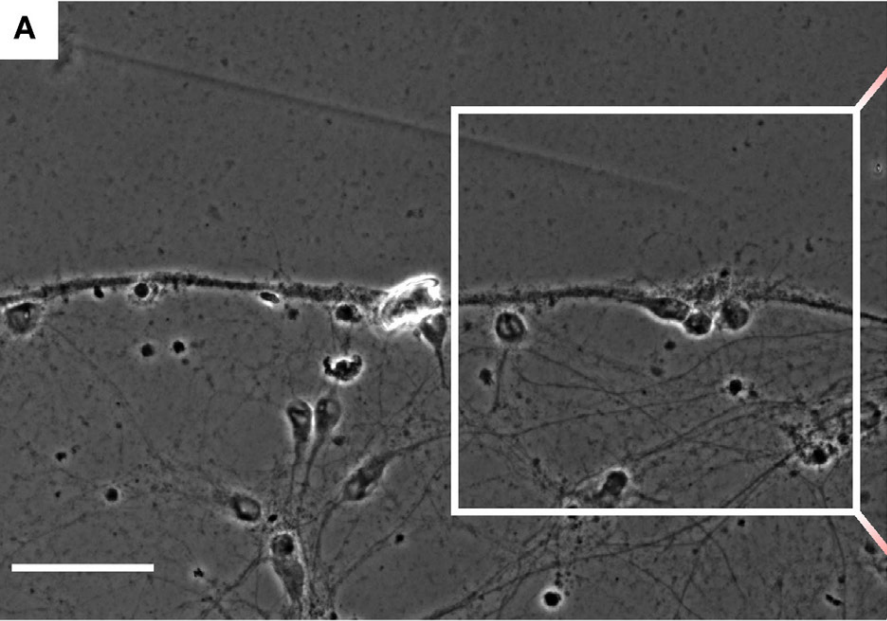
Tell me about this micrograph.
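Cultured neurons seen in phase contrast, growing up to the edge of a patterned surface. A dark, slightly beaded line crosses the field horizontally, marking a boundary; above it the surface is smooth and nearly free of cells. Rounded and oval cell bodies with bright halos sit along and just below the line, a few clustered together. Below the line a fine meshwork of thin processes spreads across the substrate, many running obliquely or downward from cell bodies, and some following the boundary. Small dark round debris particles are scattered over the field.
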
